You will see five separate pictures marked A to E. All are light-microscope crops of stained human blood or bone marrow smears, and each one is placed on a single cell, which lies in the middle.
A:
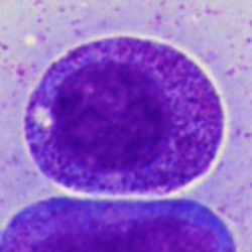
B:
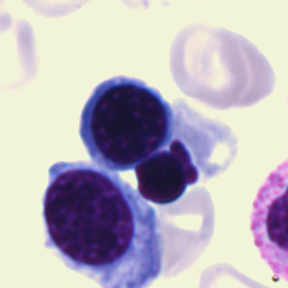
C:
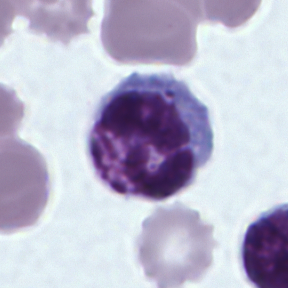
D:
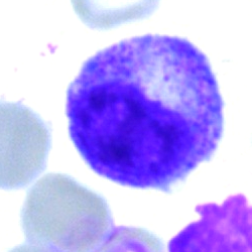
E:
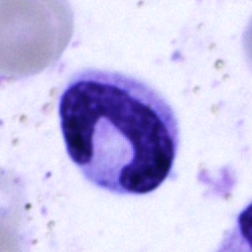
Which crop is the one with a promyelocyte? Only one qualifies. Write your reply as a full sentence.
Crop A is the crop containing a promyelocyte.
